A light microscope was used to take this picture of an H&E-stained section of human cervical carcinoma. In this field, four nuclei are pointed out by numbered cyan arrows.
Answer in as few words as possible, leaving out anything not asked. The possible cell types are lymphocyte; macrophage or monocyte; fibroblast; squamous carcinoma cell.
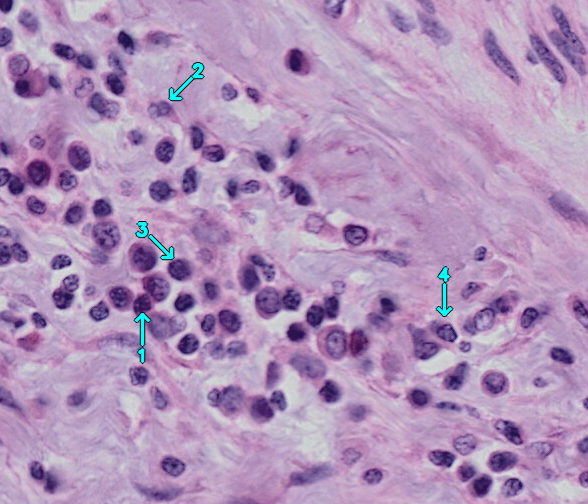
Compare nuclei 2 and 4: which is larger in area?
4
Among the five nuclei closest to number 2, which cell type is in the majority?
lymphocyte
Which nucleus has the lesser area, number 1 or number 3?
1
